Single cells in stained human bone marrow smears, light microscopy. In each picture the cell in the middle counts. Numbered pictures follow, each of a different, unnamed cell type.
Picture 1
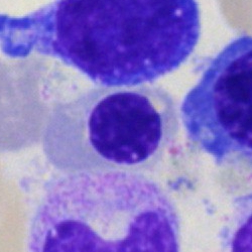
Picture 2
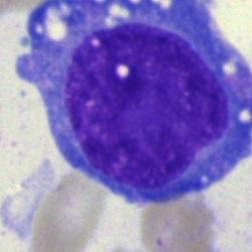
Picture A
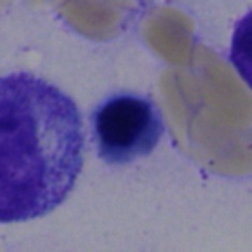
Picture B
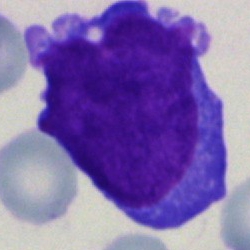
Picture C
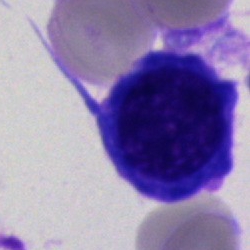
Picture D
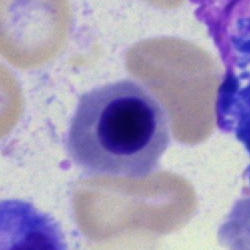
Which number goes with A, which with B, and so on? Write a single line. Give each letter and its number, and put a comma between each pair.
A 1, B 2, C 1, D 1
